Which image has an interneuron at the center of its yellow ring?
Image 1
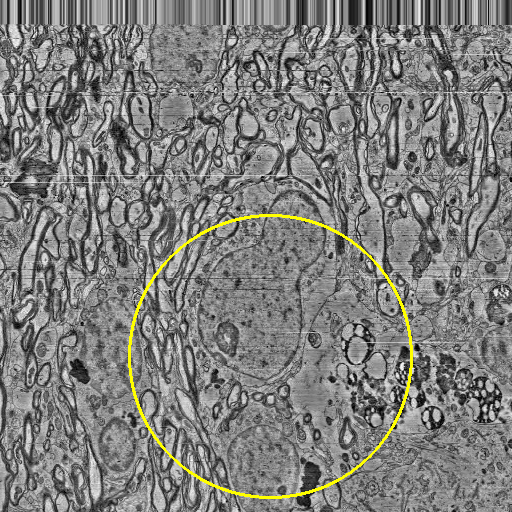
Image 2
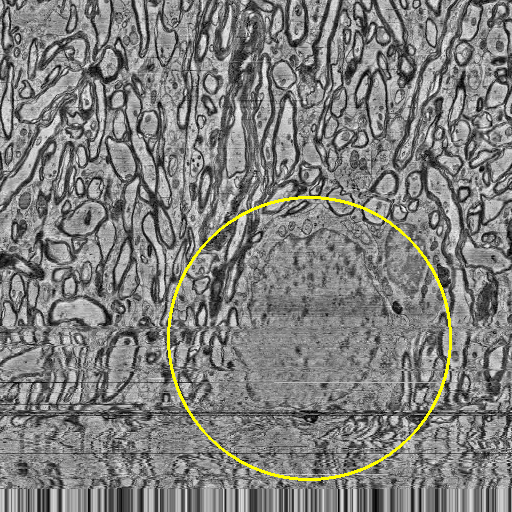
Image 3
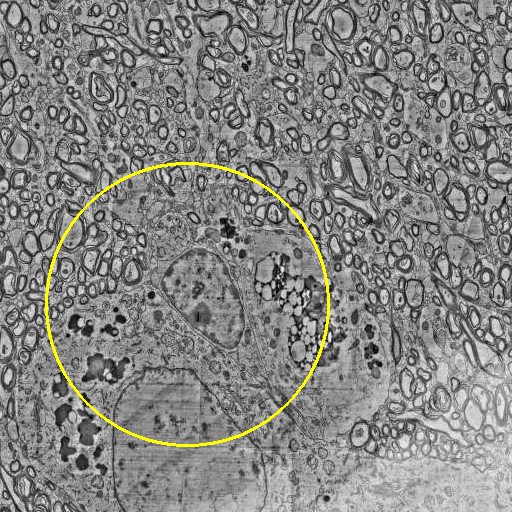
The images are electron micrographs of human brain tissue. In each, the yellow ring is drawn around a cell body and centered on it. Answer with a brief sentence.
It is at the center of the ring in Image 2.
